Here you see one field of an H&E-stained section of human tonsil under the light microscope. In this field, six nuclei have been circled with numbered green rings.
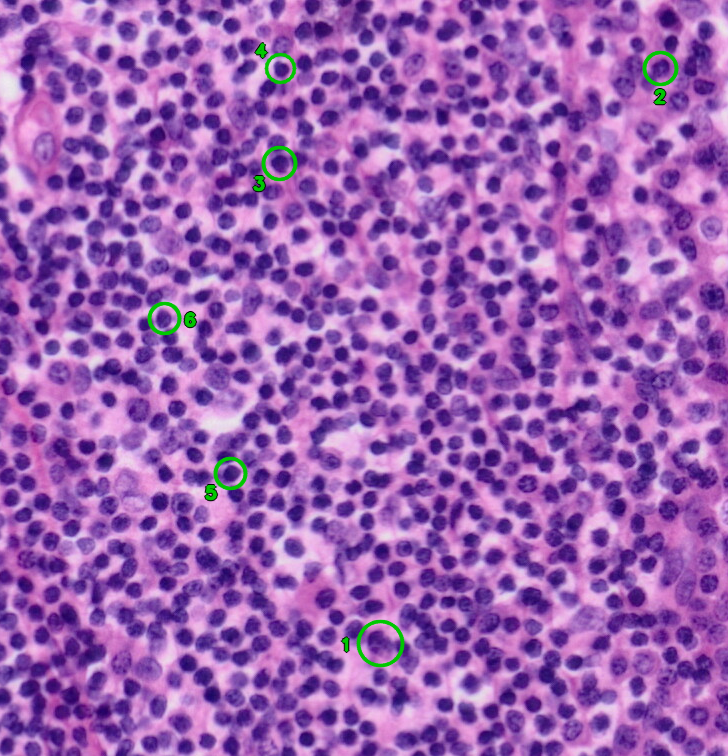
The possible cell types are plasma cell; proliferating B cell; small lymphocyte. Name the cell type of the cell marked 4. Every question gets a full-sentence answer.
Cell 4 is classified as a small lymphocyte.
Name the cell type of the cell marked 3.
It is as a small lymphocyte that the cell numbered 3 is identified.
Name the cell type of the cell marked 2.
The cell referred to as 2 is a plasma cell.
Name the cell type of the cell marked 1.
As for number 1, that cell is a proliferating B cell.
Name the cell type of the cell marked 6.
The cell assigned the number 6 is a small lymphocyte.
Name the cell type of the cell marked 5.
The nucleus with number 5 is that of a small lymphocyte.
